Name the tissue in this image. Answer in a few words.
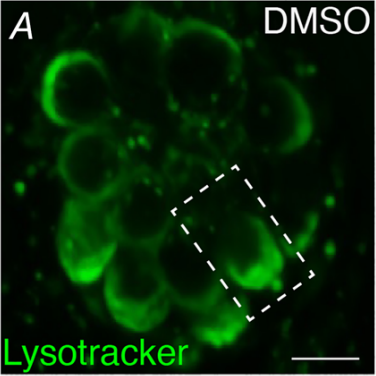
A: Neuromasts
